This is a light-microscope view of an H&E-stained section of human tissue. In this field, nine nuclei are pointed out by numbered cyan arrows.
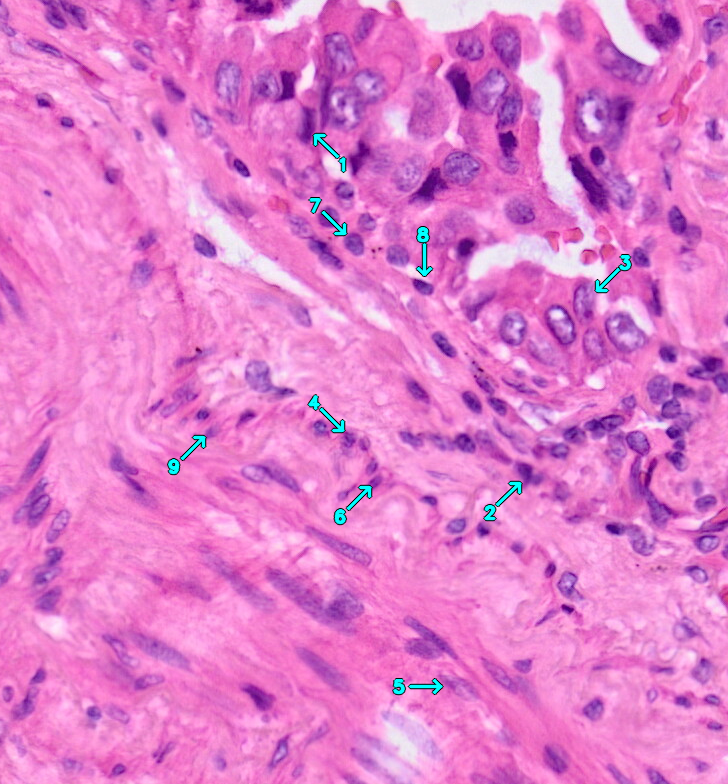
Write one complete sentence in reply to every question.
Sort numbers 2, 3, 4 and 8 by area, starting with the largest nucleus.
Going from the biggest nucleus down to the smallest gives 3, 2, 8, 4.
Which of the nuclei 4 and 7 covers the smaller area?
With nucleus 7 about 3 times its size, nucleus 4 is the smaller of the two.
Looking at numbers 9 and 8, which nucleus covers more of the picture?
Nucleus 8 covers more area, about 2 times as much as nucleus 9.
